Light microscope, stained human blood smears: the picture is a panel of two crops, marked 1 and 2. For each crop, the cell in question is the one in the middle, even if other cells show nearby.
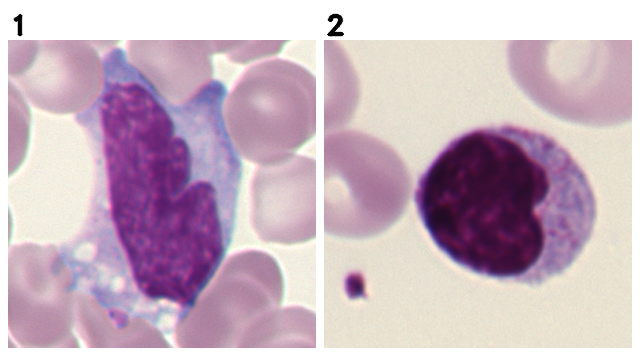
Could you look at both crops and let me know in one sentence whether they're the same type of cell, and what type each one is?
No, crop 1 captures a monocyte, and crop 2 captures a large granular lymphocyte.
